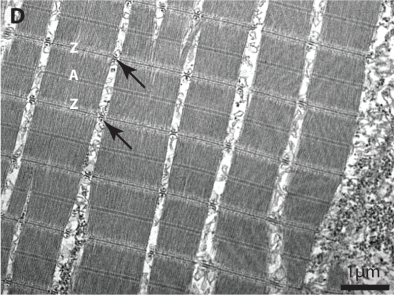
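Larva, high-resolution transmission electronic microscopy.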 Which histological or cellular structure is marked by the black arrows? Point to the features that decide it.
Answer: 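The arrows point to small dark membrane profiles in the pale gaps between myofibrils. The profiles sit in line with the transverse lines of the myofibrils. So: Triads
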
